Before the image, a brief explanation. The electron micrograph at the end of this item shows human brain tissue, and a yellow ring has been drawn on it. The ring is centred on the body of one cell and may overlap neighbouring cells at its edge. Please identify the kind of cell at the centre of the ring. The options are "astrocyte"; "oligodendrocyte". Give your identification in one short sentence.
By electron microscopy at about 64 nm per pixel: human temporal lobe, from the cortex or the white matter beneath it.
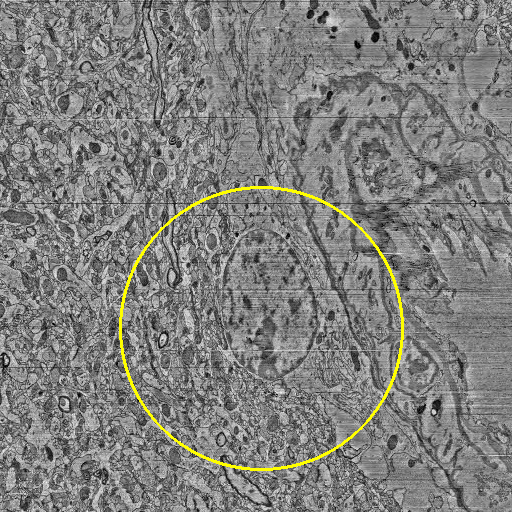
The ring has been placed around an astrocyte.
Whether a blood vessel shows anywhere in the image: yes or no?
Yes, there is a blood vessel.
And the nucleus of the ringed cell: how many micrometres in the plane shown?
In this plane the nucleus is clearly longer than it is wide: roughly 10 by 6 micrometres.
